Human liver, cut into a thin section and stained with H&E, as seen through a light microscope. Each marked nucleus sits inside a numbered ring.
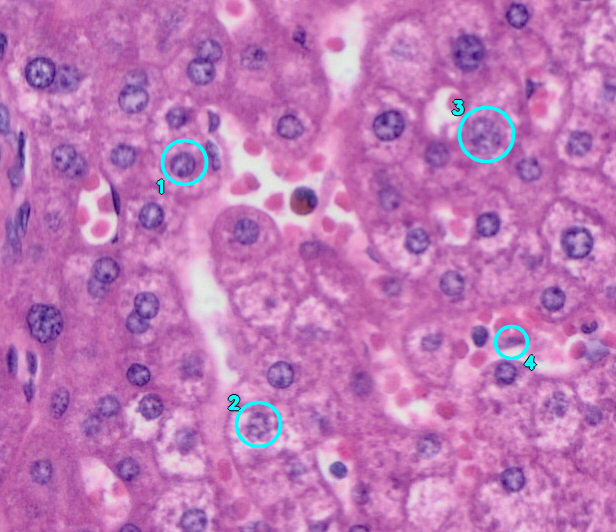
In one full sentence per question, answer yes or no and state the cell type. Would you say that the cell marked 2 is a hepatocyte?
Yes, number 2 marks a cell that is a hepatocyte.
